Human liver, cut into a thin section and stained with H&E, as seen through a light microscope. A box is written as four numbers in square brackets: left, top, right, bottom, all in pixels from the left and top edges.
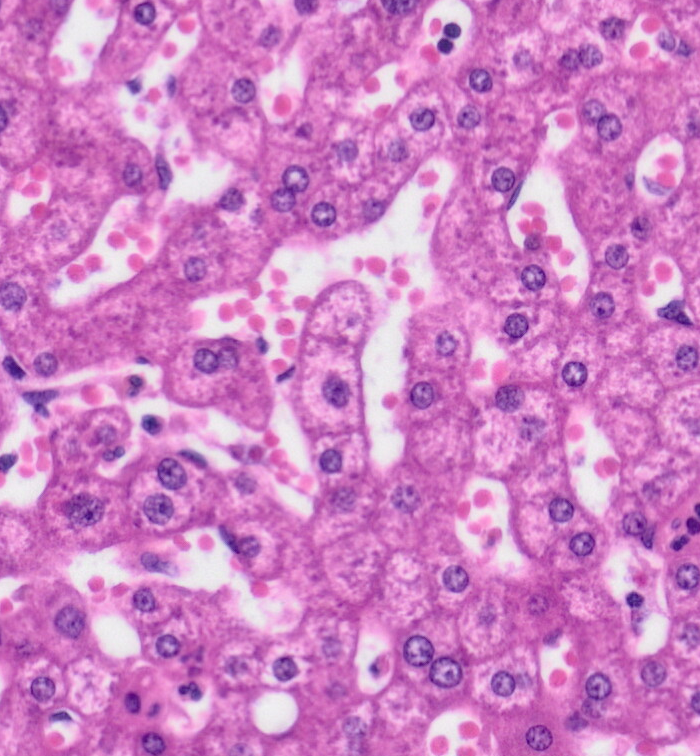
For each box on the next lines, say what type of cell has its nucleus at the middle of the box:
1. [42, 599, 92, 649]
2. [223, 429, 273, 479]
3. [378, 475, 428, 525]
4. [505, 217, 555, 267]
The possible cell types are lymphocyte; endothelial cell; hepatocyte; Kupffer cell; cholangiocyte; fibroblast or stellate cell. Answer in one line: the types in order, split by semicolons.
hepatocyte; Kupffer cell; hepatocyte; Kupffer cell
